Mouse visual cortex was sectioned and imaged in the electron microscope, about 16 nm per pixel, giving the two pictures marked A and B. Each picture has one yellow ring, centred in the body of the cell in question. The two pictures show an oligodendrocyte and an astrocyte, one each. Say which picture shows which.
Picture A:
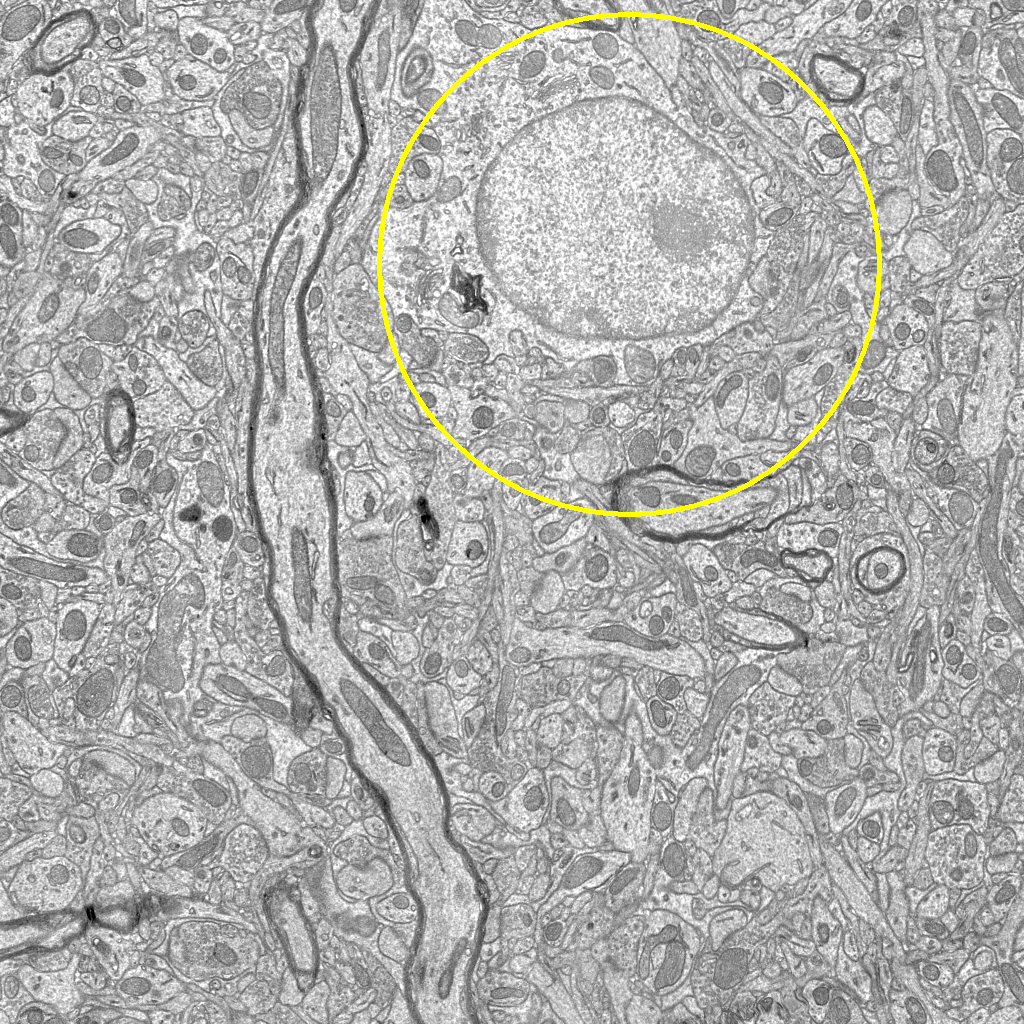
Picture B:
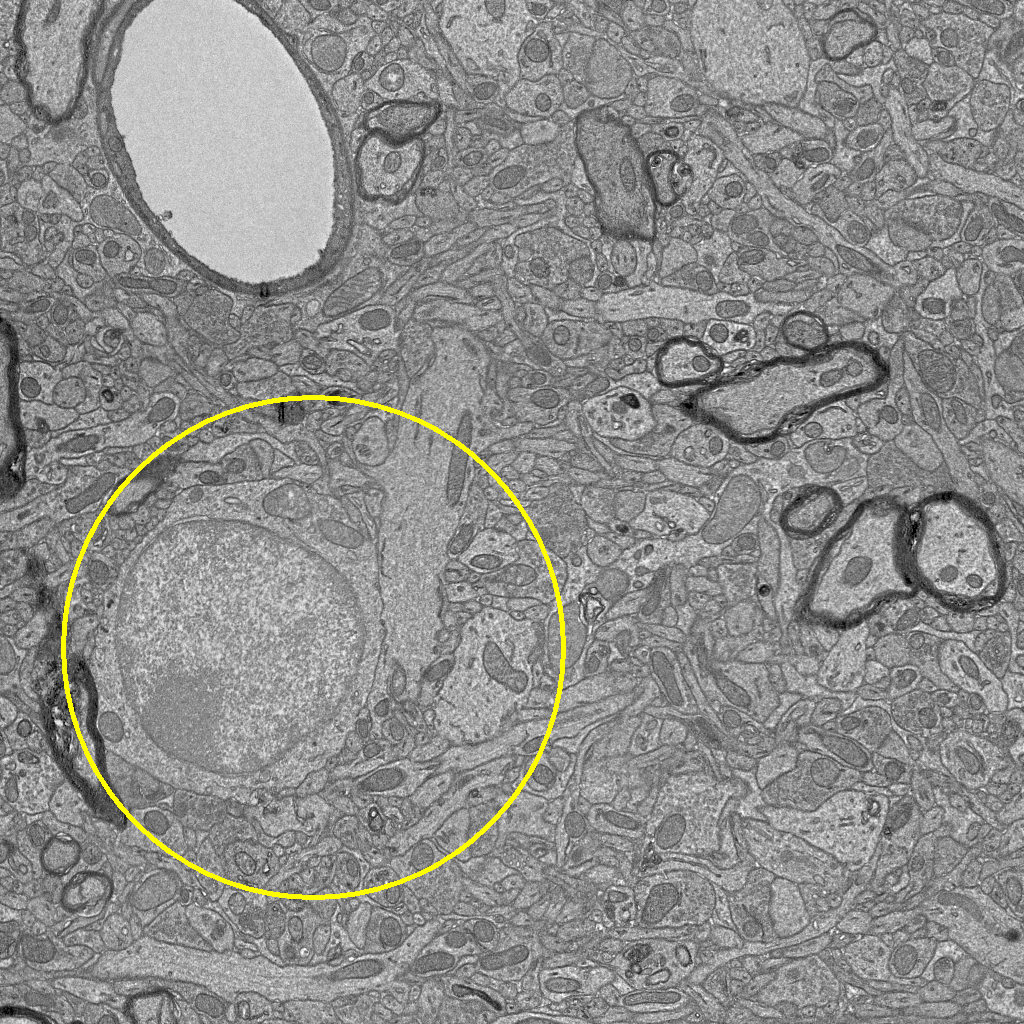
Picture A is of an astrocyte, and picture B is of an oligodendrocyte.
